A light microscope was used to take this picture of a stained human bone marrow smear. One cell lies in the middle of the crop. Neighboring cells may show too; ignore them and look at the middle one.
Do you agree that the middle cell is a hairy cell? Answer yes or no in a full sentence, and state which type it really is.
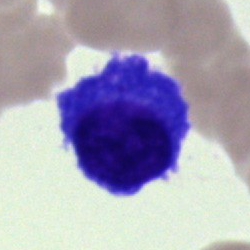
No, the cell at the centre is identified as a plasma cell, not as a hairy cell.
